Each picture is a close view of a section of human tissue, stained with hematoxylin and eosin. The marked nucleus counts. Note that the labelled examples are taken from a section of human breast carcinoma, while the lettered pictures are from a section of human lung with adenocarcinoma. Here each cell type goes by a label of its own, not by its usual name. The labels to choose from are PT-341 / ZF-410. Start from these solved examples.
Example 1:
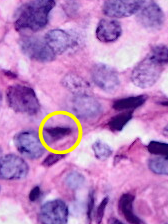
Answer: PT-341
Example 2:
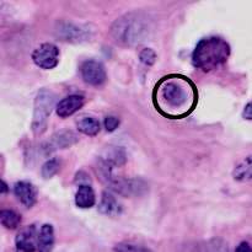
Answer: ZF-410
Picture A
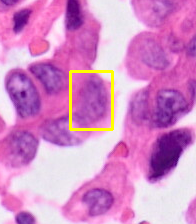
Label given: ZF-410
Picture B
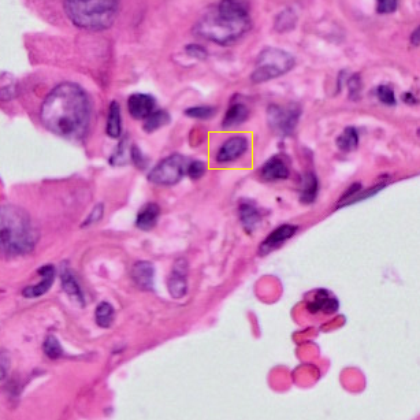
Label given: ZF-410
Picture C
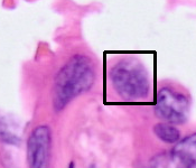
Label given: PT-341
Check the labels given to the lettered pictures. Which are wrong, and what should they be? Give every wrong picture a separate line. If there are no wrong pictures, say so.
A: not ZF-410 but PT-341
